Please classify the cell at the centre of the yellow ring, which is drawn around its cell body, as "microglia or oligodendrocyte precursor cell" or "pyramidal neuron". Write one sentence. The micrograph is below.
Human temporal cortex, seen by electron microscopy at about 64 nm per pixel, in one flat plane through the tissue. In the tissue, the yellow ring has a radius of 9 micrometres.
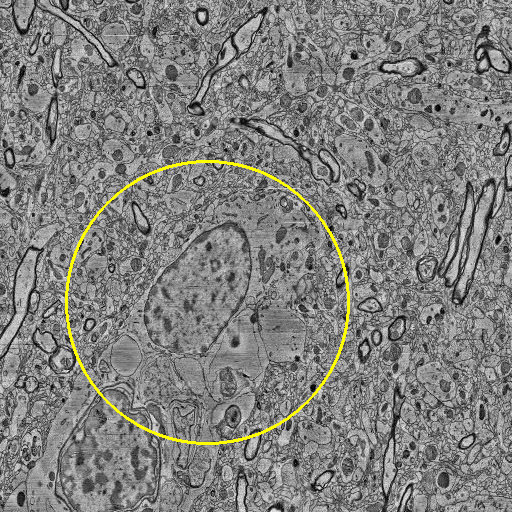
The cell at the ring's centre is classified as a microglial cell or oligodendrocyte precursor cell.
